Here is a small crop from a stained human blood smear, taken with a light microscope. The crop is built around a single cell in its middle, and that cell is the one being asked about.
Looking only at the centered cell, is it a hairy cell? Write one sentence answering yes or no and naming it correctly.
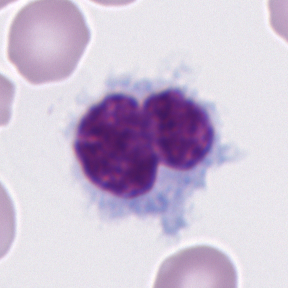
Yes, the cell positioned in the middle is a hairy cell.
